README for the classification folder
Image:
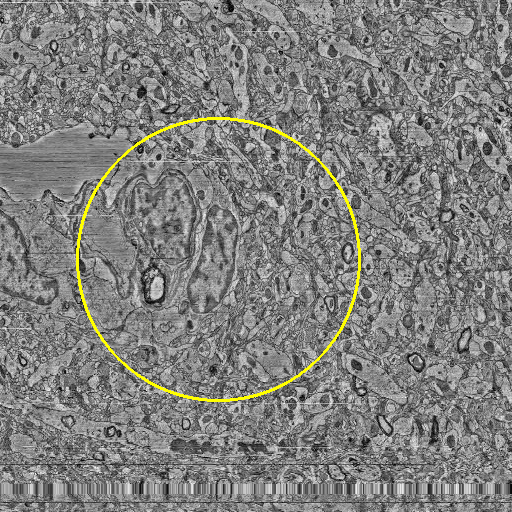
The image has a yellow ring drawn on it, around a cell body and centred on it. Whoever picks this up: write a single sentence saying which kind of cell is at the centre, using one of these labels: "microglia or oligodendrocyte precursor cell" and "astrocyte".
This cell body is that of a microglial cell or oligodendrocyte precursor cell.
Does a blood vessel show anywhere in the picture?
Yes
